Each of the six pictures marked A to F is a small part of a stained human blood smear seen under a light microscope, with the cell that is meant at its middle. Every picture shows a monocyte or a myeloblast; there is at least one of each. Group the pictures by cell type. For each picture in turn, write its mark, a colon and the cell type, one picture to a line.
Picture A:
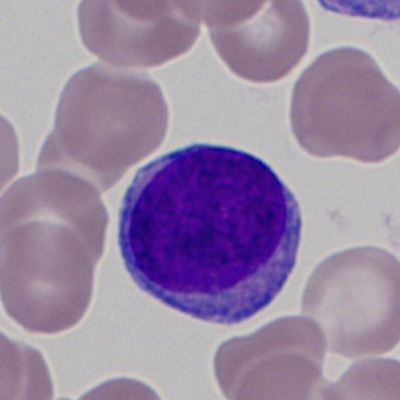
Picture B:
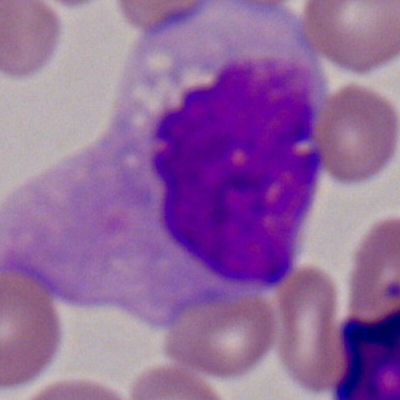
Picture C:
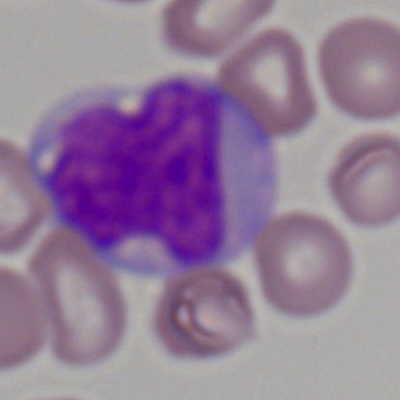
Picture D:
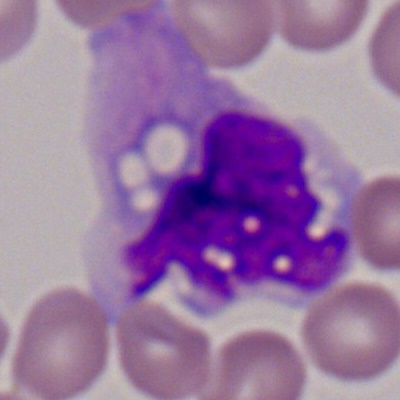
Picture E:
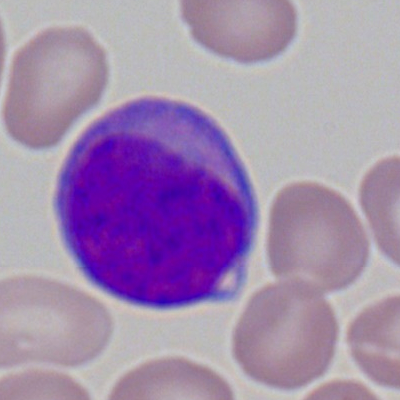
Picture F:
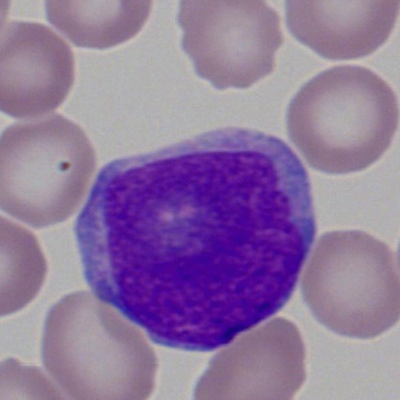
A: myeloblast
B: monocyte
C: monocyte
D: monocyte
E: myeloblast
F: myeloblast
